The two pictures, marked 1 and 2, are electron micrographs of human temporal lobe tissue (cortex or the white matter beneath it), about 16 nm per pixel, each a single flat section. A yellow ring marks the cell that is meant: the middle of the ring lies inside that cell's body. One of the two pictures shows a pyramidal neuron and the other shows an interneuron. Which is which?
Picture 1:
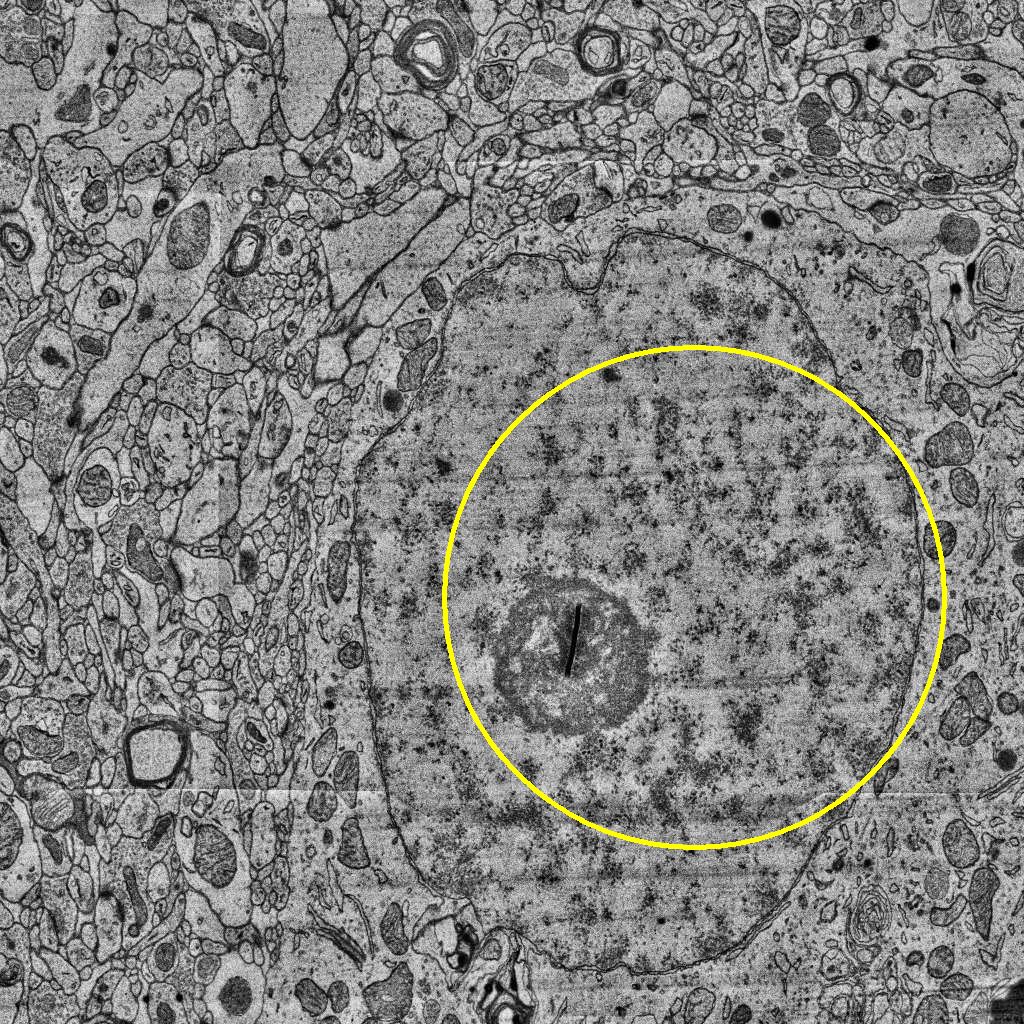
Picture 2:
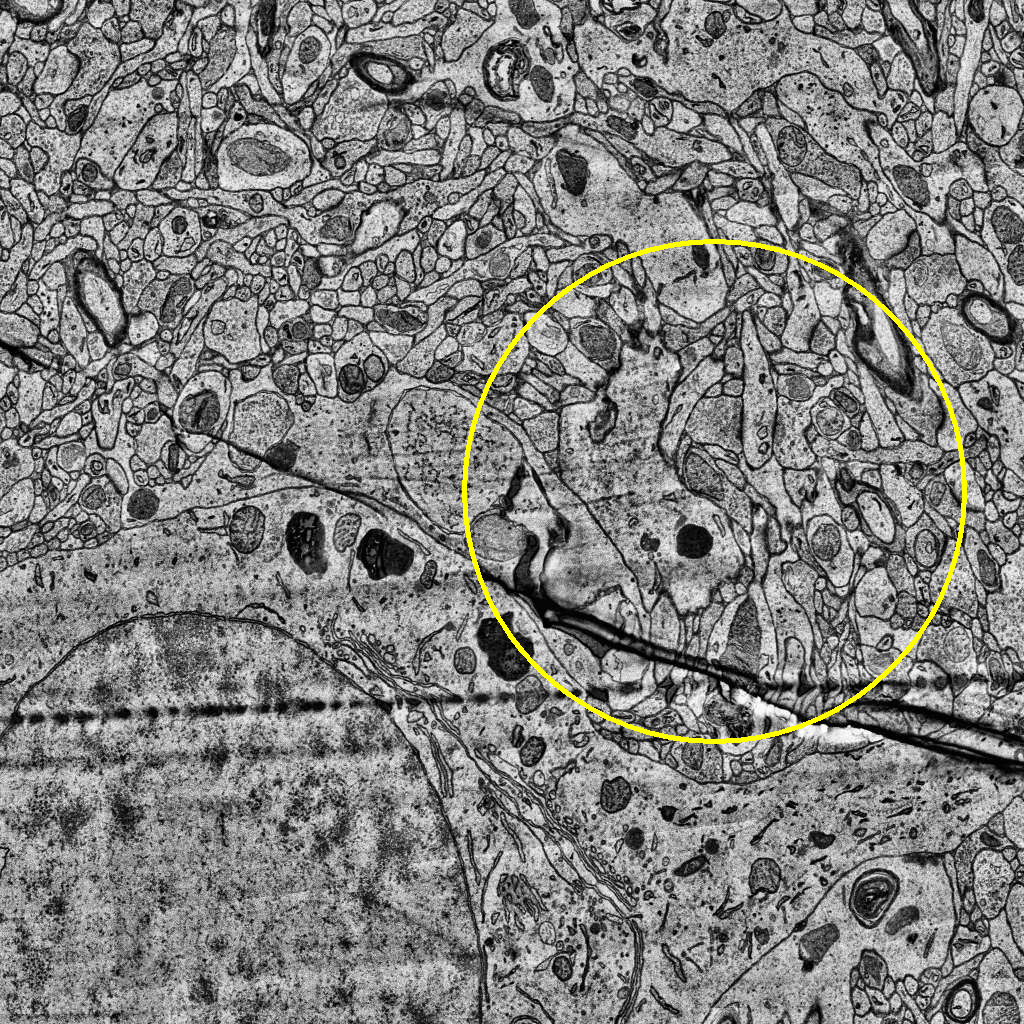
In picture 1 the cell is an interneuron; in picture 2, a pyramidal neuron.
